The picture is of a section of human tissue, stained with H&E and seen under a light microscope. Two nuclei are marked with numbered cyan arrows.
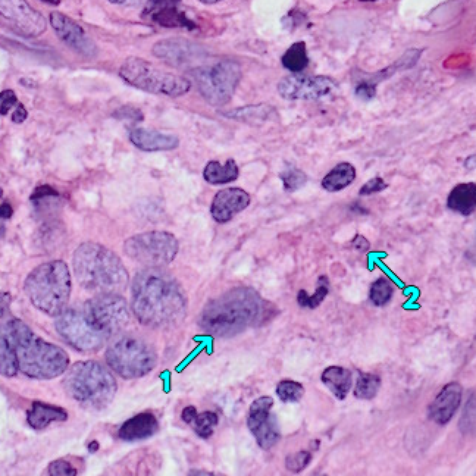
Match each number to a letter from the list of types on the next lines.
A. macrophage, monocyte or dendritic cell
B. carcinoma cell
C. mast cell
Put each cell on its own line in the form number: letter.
1: B
2: A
